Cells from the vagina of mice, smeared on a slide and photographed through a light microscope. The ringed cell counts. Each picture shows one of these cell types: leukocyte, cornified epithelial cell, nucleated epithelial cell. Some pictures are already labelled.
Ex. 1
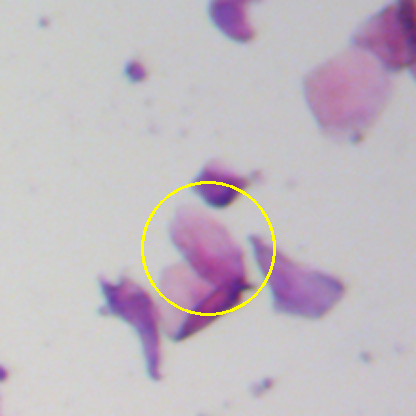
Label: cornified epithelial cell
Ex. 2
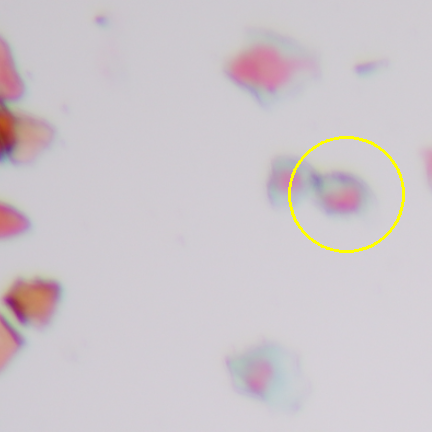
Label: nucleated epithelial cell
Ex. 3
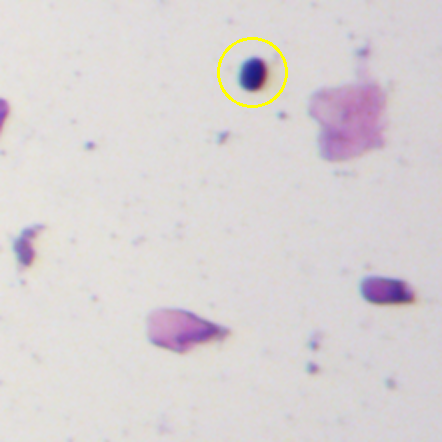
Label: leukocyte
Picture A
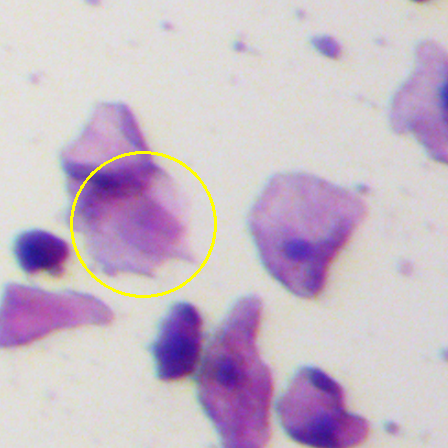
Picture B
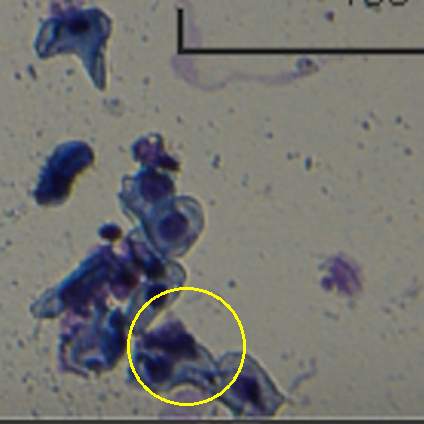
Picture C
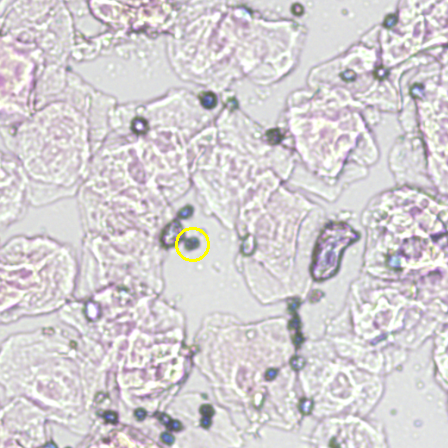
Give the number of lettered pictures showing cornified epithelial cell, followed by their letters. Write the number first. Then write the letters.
Count: 1 (A)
